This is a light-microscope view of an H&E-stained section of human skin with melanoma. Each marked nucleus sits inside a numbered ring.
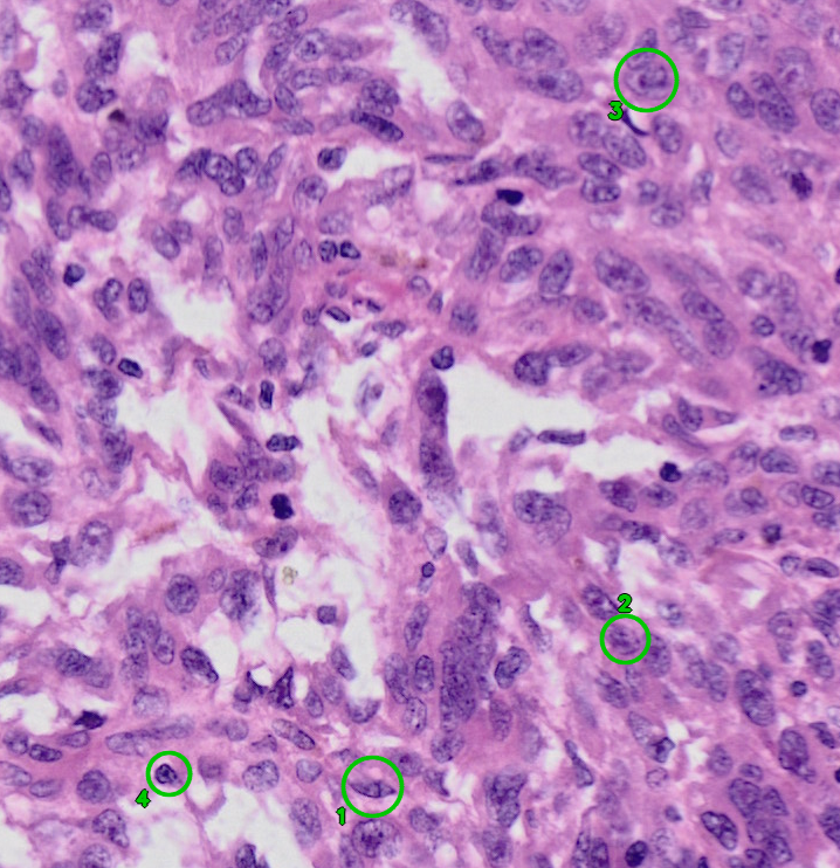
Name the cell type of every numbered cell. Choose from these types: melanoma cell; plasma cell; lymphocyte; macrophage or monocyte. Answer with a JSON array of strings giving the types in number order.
["macrophage or monocyte", "melanoma cell", "melanoma cell", "lymphocyte"]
